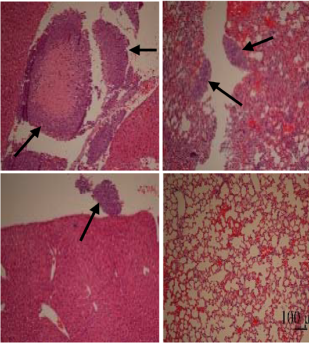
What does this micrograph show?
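These are sections of liver and of lung, with the liver on the left and the lung on the right. Here and there, compact nodules stain a darker purple than the tissue around them; they are crowded with nuclei and stand out clearly from the pinker background. In the liver, such dense nodules bulge into the tissue or sit at its edge. In the lung, the fine lace of thin-walled air spaces is broken in places by these solid, nucleus-rich clusters, while elsewhere the open alveolar network looks intact.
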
